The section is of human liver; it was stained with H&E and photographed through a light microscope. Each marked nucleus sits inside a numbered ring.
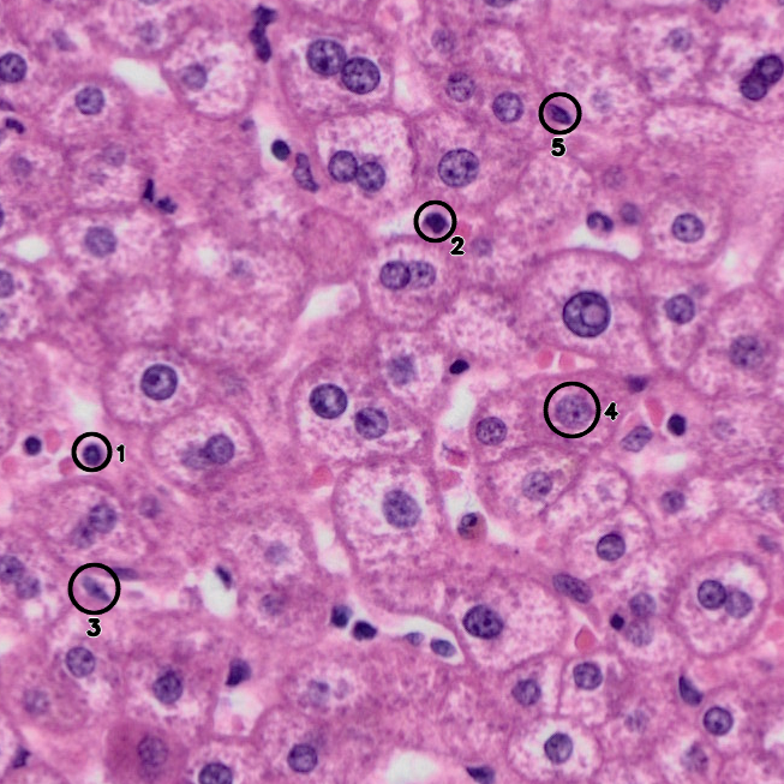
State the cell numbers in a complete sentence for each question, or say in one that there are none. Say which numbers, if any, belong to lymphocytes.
On this slide, the cells numbered 1 and 2 are lymphocytes.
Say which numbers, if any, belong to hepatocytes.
Cell number 4 alone is a hepatocyte; the rest are not.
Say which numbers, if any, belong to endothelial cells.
Of the cells carrying numbers, just cell 3 is an endothelial cell.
